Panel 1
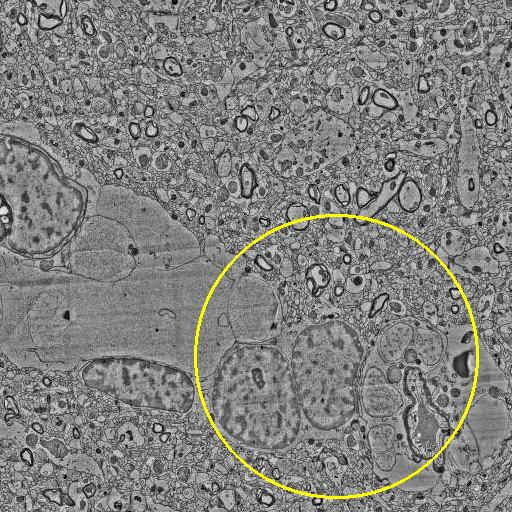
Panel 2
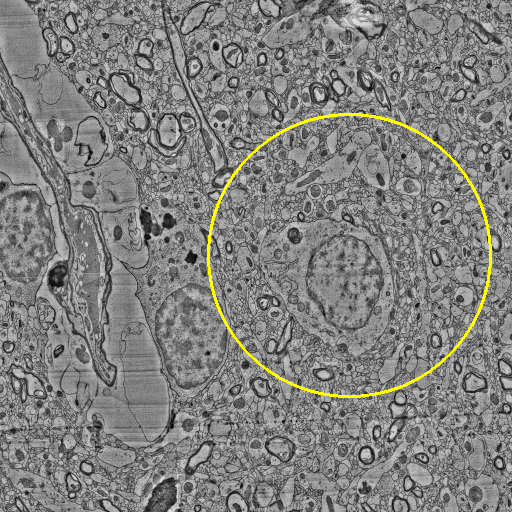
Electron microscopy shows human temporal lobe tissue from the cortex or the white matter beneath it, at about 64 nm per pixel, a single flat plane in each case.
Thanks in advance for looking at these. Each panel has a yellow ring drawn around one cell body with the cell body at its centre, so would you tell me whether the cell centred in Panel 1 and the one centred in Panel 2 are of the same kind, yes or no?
no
